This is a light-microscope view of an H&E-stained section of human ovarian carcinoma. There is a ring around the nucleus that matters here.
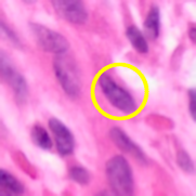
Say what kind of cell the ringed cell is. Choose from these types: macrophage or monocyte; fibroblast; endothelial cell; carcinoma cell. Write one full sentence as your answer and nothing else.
To be brief about it, the ringed cell is a fibroblast.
